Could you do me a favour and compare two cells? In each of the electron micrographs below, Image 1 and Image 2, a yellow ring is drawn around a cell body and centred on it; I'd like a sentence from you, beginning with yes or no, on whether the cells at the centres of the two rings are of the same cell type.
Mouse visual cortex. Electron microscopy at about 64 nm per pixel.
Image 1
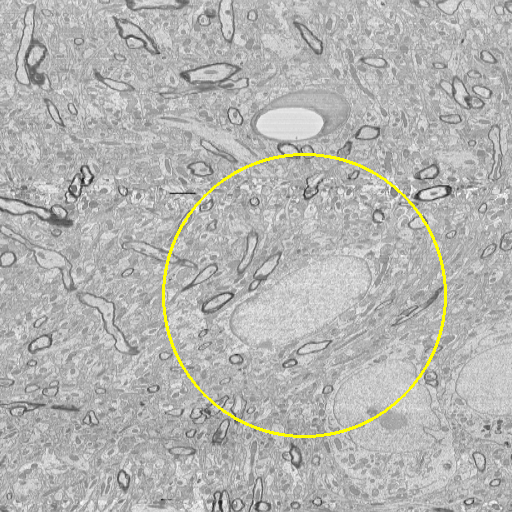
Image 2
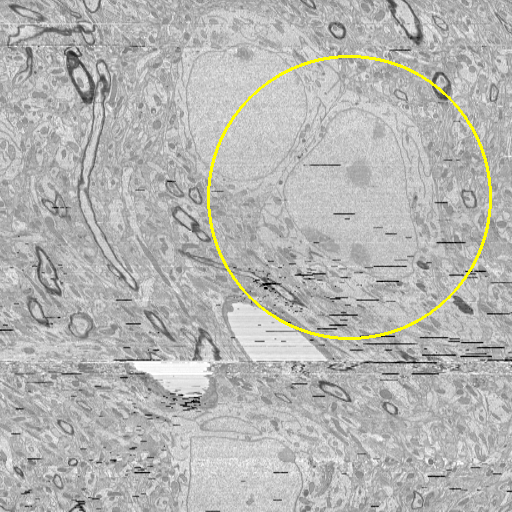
No, the two cells are of two cell types.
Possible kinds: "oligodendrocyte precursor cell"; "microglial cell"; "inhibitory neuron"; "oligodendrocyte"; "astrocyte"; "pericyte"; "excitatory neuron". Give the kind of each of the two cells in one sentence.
The cell in the second picture is an excitatory neuron, and that in the first is an astrocyte.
